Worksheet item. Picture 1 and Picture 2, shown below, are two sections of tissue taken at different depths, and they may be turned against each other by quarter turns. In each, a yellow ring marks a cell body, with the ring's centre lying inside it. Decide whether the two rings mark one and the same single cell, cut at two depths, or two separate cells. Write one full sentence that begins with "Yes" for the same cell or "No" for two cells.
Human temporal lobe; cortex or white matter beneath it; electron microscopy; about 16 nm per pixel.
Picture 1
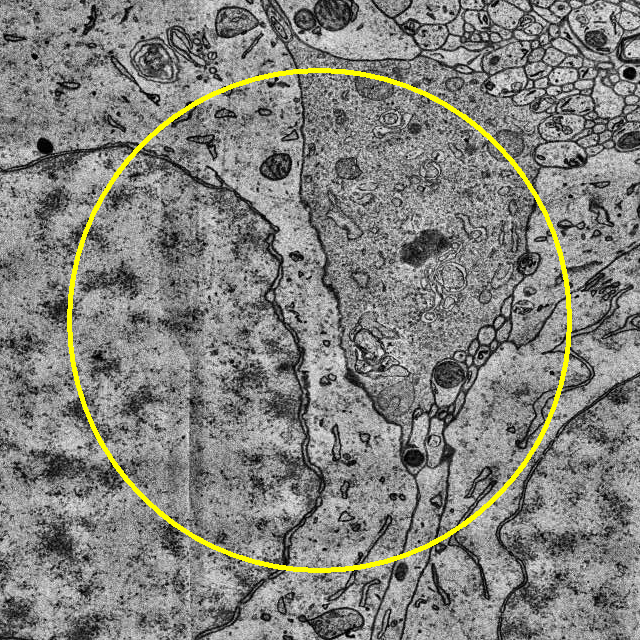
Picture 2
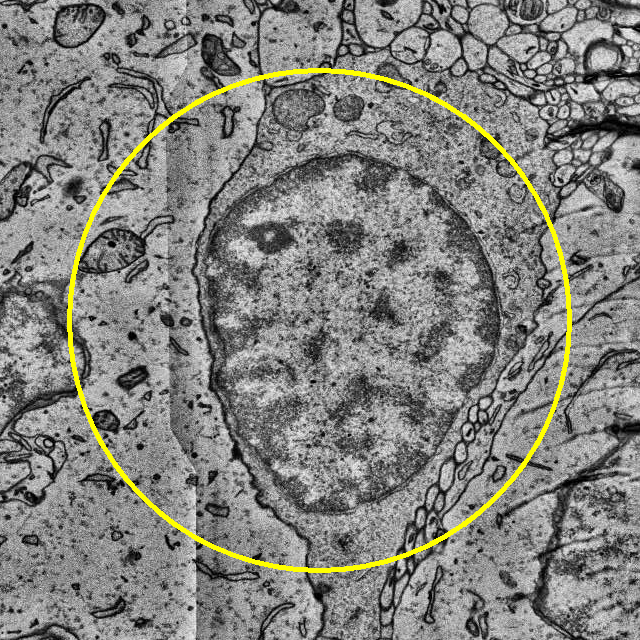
Yes, one cell is ringed in yellow twice over.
